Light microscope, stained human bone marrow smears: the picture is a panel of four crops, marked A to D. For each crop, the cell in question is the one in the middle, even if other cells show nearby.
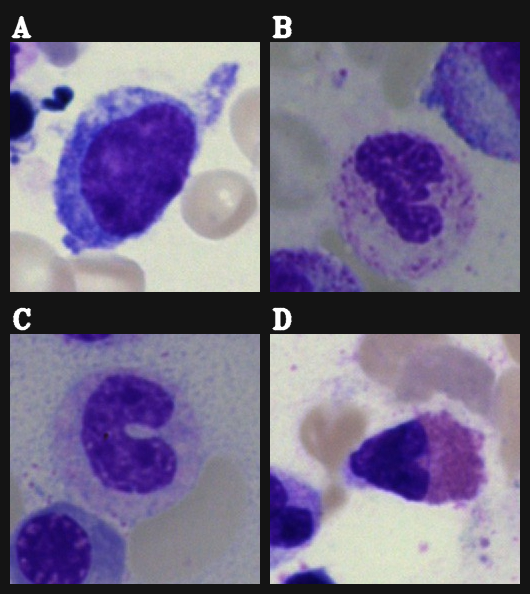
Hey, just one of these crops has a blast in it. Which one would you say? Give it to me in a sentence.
Only in crop A is a blast shown.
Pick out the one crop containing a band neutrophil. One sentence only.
Crop C is the crop featuring a band neutrophil at its center.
